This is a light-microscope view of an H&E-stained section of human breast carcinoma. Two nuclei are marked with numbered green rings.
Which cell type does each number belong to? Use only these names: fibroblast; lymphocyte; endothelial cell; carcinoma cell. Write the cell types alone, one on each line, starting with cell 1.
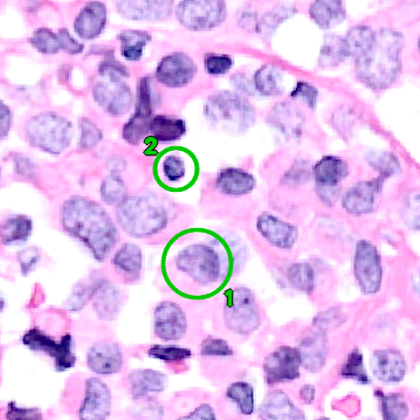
carcinoma cell
lymphocyte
